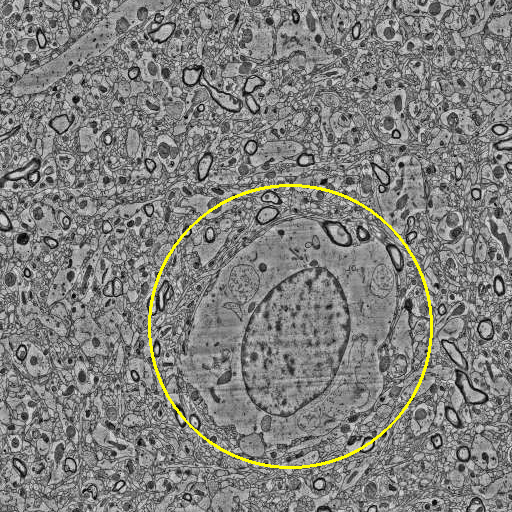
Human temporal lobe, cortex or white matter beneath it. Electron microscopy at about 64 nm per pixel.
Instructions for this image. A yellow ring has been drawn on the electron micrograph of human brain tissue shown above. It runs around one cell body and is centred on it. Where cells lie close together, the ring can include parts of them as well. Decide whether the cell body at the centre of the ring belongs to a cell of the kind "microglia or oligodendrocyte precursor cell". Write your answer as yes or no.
no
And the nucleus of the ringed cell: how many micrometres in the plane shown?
At approximately 10 by 6 micrometres, the nucleus is clearly longer than it is wide in this plane.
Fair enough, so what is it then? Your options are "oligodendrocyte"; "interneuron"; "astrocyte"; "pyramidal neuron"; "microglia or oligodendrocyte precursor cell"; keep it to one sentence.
The cell ringed in the picture is an astrocyte.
